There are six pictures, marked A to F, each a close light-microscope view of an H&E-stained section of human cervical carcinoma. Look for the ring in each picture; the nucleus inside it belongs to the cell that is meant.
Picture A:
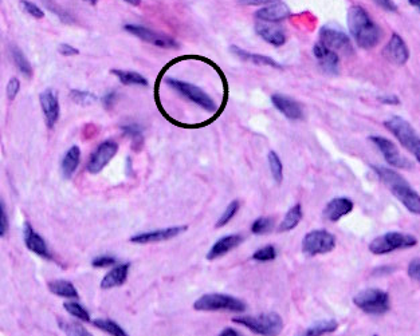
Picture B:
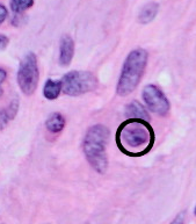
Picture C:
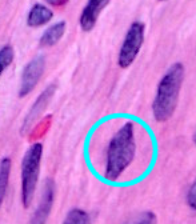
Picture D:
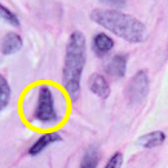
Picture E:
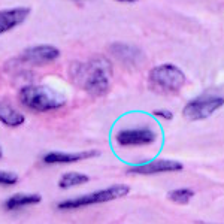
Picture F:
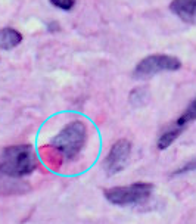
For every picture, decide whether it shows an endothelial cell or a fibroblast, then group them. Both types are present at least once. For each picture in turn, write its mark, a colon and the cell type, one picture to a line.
A: fibroblast
B: endothelial cell
C: fibroblast
D: fibroblast
E: fibroblast
F: endothelial cell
